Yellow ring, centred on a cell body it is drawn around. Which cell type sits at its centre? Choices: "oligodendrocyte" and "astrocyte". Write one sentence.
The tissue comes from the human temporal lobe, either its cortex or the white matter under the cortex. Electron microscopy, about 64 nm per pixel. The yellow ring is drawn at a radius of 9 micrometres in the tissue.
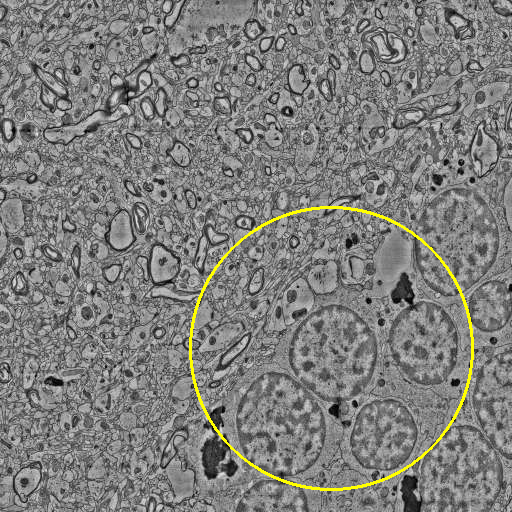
At the centre of the ring sits an oligodendrocyte.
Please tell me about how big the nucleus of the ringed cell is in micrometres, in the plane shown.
In this plane, approximately 6 micrometres across.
